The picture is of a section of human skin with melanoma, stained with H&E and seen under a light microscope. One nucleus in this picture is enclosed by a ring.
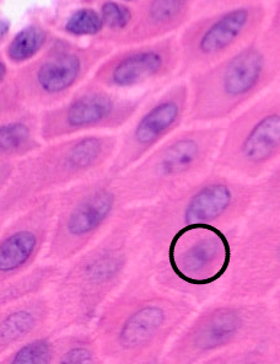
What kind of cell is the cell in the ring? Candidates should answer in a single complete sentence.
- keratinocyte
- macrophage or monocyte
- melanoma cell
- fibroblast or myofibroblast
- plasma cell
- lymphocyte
To be brief about it, the cell in the ring is a keratinocyte.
